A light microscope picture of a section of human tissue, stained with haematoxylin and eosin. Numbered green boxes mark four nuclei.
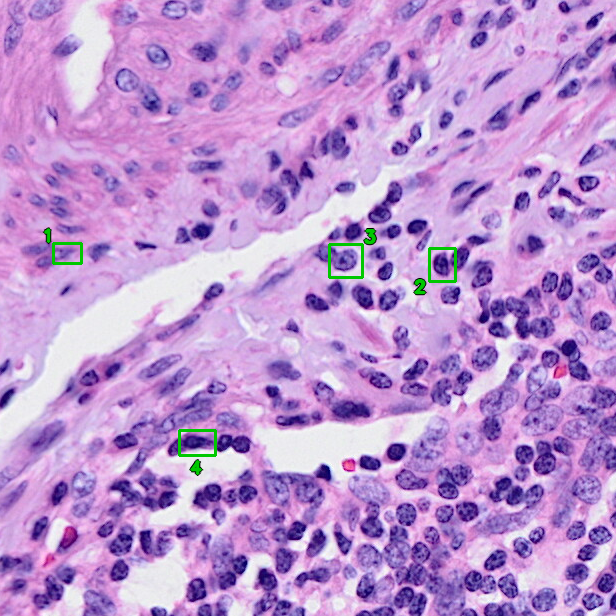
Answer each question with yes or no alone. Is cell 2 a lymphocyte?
yes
